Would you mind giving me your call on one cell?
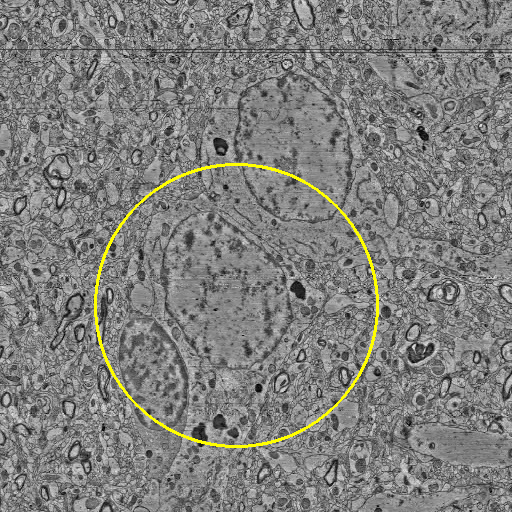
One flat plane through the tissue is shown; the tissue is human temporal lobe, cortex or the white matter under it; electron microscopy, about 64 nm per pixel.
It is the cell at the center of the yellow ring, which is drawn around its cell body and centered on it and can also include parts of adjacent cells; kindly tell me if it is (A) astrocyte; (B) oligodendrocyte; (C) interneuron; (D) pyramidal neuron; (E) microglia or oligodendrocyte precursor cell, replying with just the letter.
C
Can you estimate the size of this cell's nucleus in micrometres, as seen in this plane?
The nucleus comes to roughly 11 by 8 micrometres in this plane.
